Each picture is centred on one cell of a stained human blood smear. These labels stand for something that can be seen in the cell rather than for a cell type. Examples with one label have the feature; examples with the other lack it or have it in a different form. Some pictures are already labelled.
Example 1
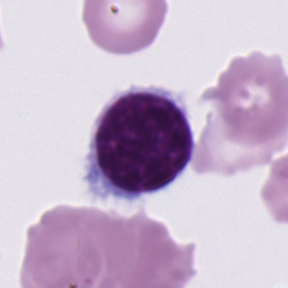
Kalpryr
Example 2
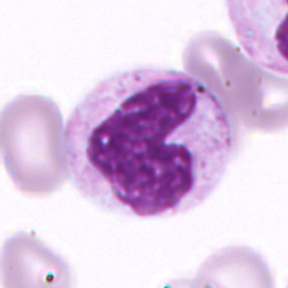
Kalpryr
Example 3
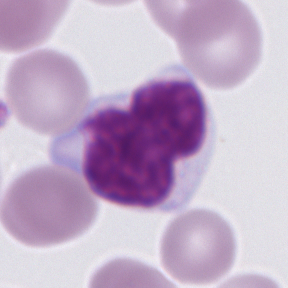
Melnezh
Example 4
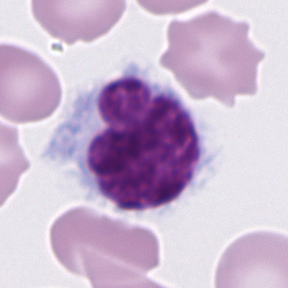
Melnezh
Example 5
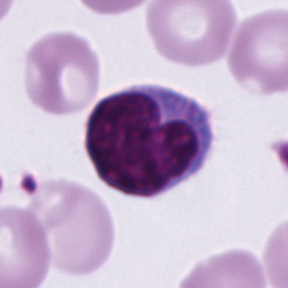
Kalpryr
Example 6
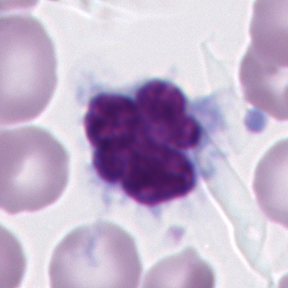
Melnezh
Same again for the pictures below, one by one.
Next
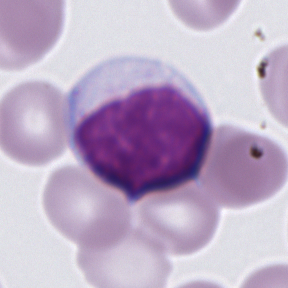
Kalpryr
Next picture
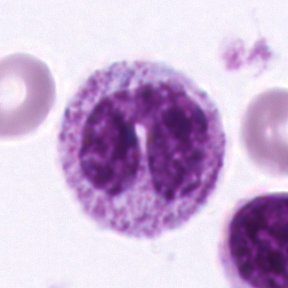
Melnezh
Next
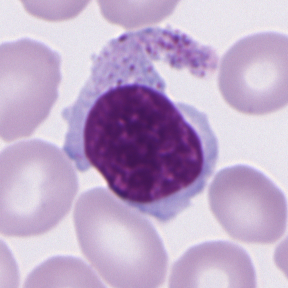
Kalpryr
